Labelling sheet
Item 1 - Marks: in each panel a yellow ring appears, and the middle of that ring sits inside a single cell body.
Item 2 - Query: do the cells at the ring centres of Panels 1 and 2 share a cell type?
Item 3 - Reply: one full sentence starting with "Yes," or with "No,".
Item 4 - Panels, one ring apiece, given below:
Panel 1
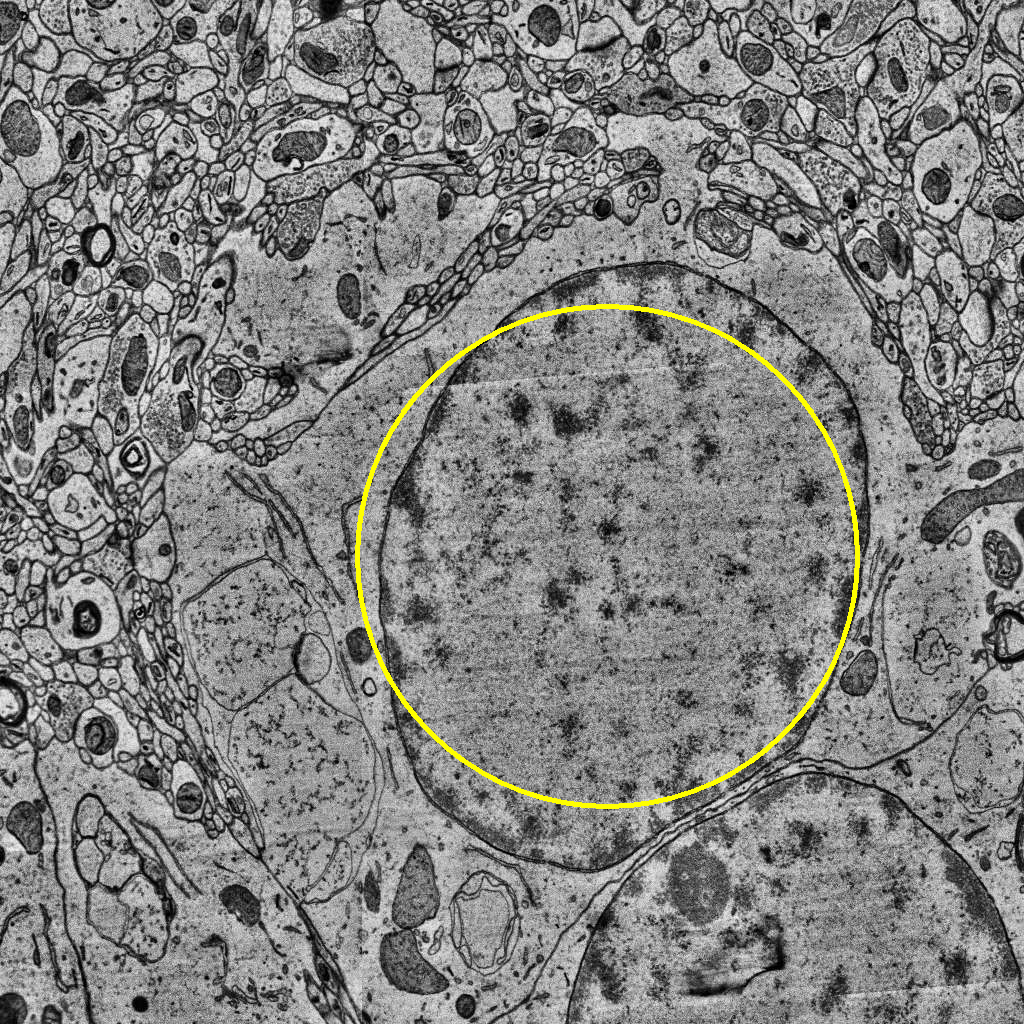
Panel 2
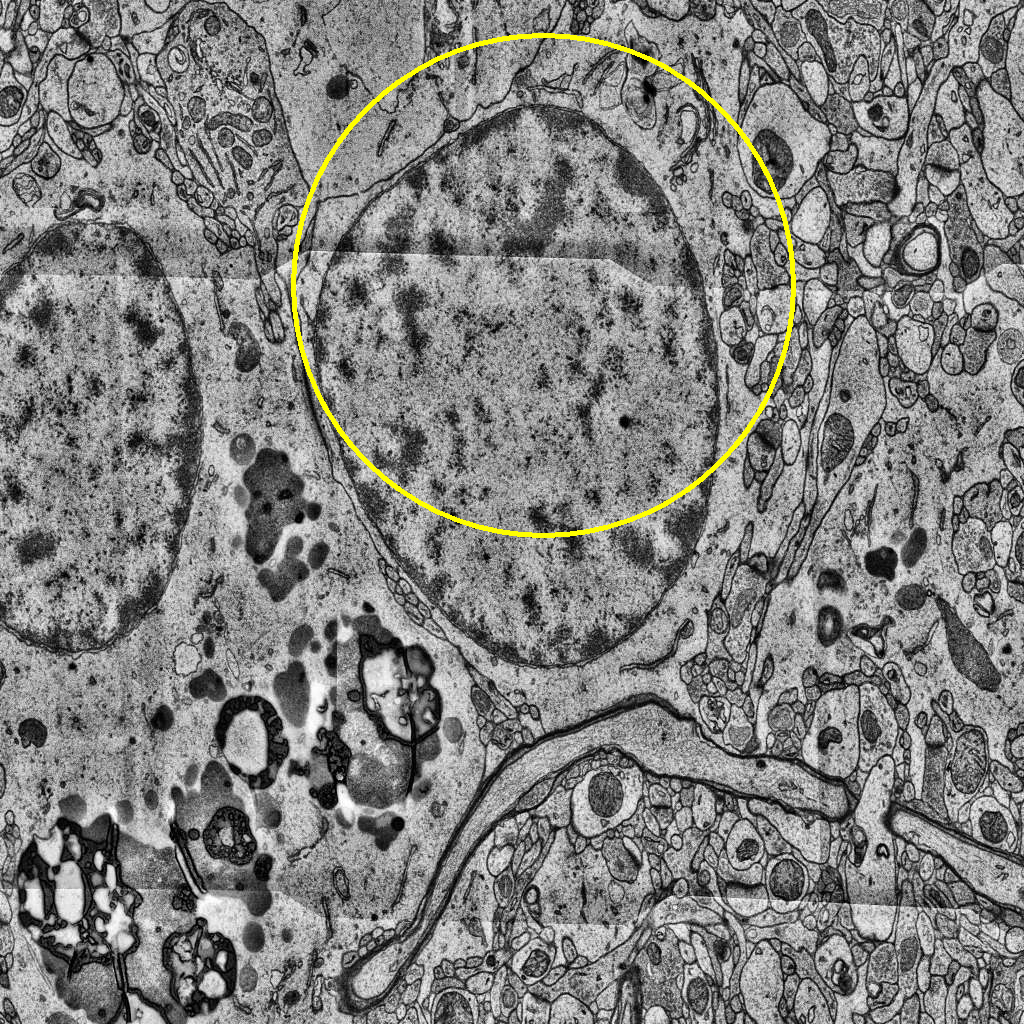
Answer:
Yes, Panel 1 and Panel 2 show one cell type at the centres of their rings.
